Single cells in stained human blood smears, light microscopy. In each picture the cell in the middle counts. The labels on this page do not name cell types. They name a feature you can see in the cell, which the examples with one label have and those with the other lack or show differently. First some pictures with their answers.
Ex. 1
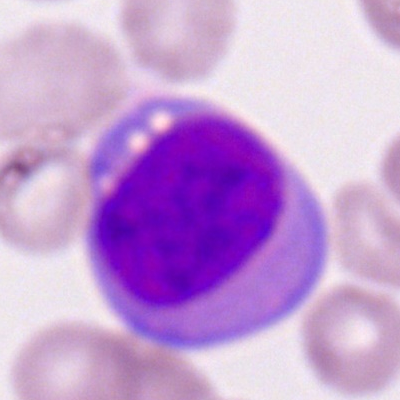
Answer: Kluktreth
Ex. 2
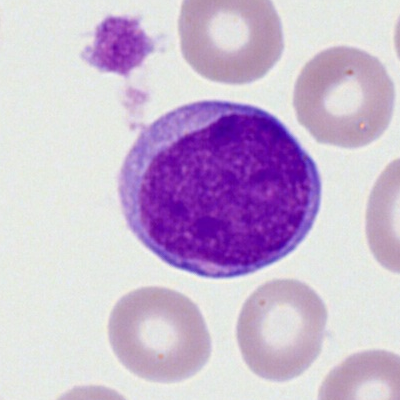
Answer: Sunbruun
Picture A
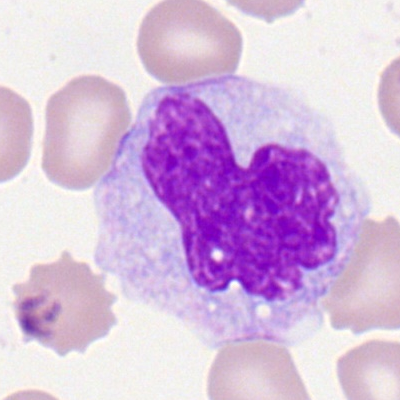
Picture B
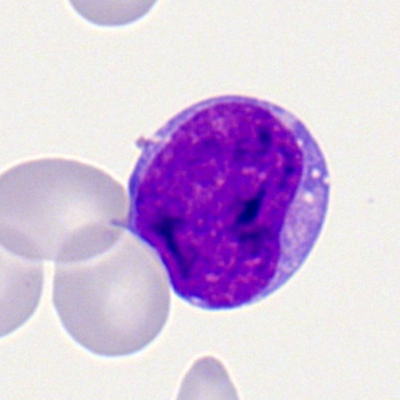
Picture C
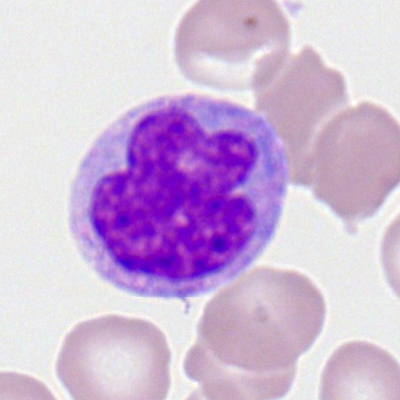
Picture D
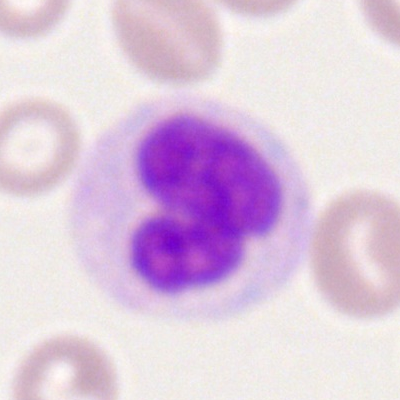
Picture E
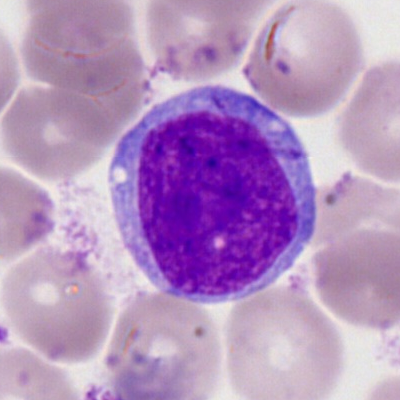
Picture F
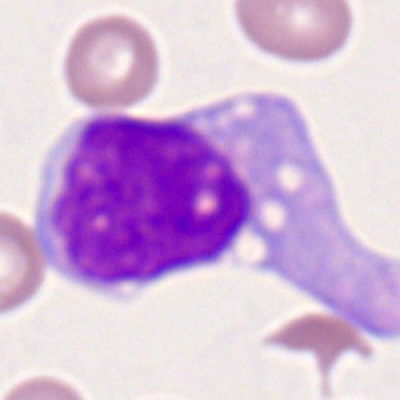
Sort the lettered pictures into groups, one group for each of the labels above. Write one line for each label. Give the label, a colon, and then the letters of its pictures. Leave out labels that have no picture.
Kluktreth: A, B, E, F
Sunbruun: C, D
